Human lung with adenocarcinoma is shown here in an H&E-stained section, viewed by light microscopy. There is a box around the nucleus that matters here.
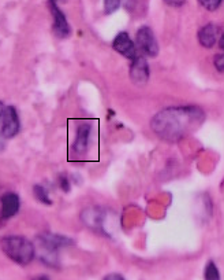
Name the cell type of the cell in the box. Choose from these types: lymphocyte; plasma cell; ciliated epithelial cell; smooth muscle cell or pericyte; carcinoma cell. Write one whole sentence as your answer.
It is as a plasma cell that the cell in the box is recorded.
